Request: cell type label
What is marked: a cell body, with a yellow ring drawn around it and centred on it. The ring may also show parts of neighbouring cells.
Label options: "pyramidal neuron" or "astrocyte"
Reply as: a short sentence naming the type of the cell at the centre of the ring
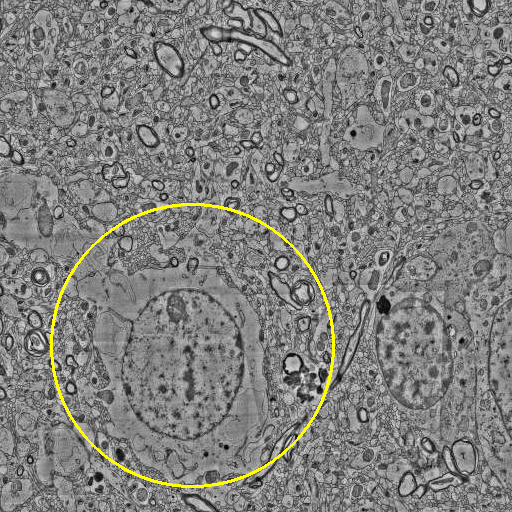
The marked cell body is that of an astrocyte.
